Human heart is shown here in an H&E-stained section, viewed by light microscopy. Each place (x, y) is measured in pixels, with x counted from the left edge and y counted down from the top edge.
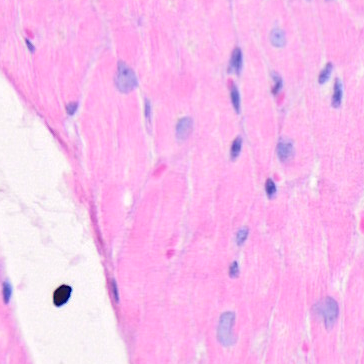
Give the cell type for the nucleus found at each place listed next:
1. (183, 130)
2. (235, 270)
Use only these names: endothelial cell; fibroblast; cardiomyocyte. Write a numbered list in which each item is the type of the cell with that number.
1. cardiomyocyte
2. endothelial cell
